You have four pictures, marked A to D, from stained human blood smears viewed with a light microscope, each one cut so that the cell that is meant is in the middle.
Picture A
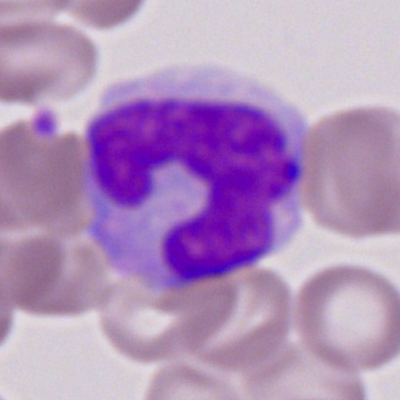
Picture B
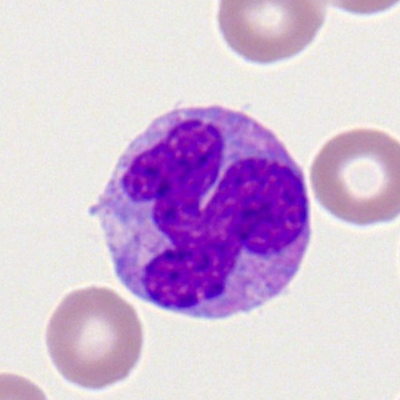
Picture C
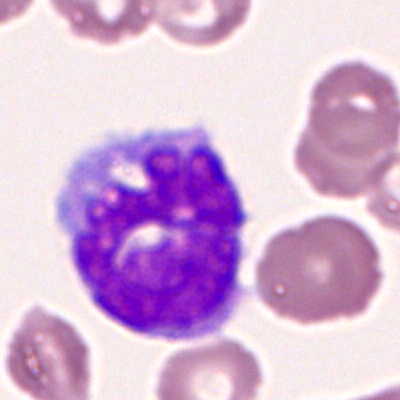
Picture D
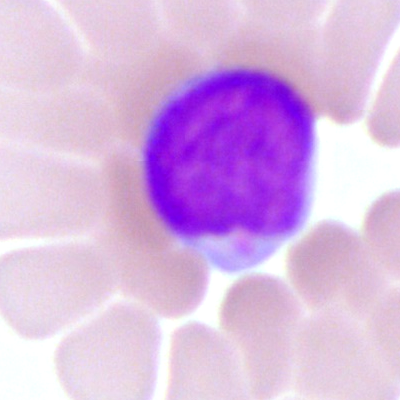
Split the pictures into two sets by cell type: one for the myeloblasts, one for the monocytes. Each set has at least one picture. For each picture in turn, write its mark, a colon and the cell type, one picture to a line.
A: monocyte
B: monocyte
C: monocyte
D: myeloblast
